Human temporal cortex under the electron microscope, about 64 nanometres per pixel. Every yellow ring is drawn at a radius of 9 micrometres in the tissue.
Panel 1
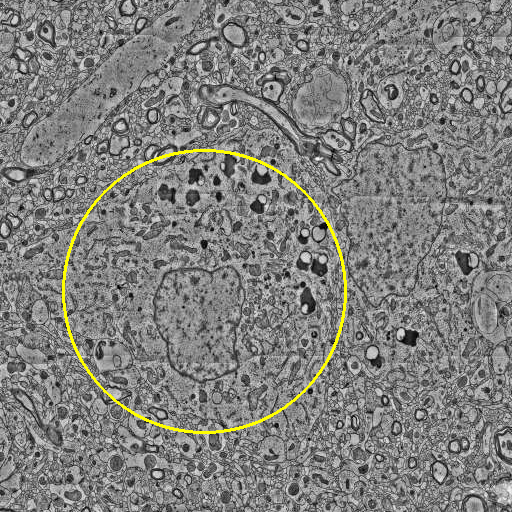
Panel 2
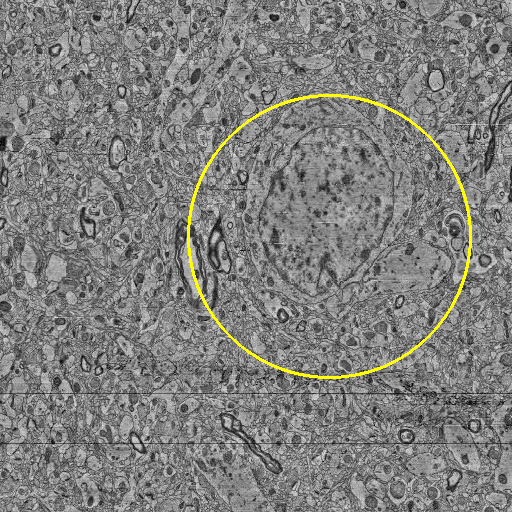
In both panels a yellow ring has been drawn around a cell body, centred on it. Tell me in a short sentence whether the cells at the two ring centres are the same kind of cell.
No, they are two kinds of cell.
